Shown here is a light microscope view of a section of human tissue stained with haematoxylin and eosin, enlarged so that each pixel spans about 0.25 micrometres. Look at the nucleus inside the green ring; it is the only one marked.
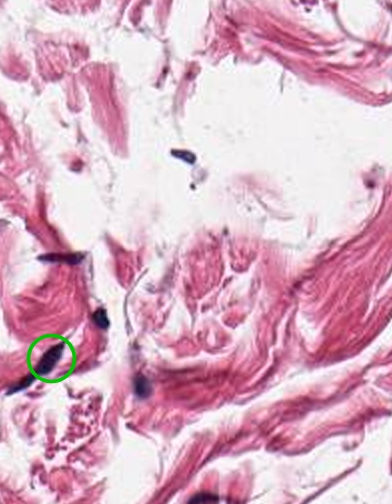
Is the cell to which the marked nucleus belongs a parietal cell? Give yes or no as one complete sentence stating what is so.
No, the marked nucleus does not come from a parietal cell but from a supporting cell.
